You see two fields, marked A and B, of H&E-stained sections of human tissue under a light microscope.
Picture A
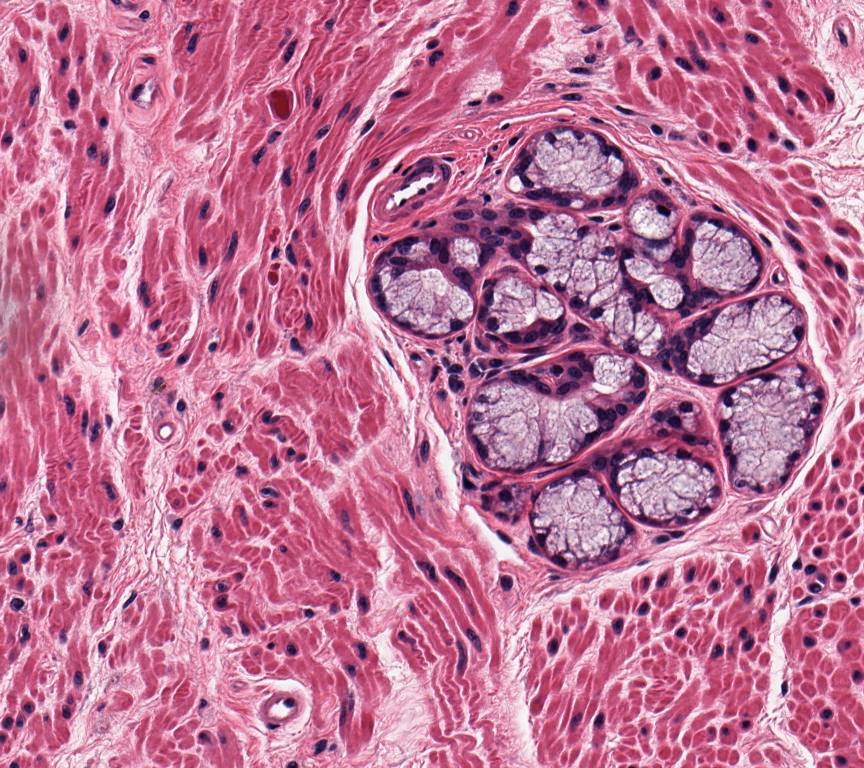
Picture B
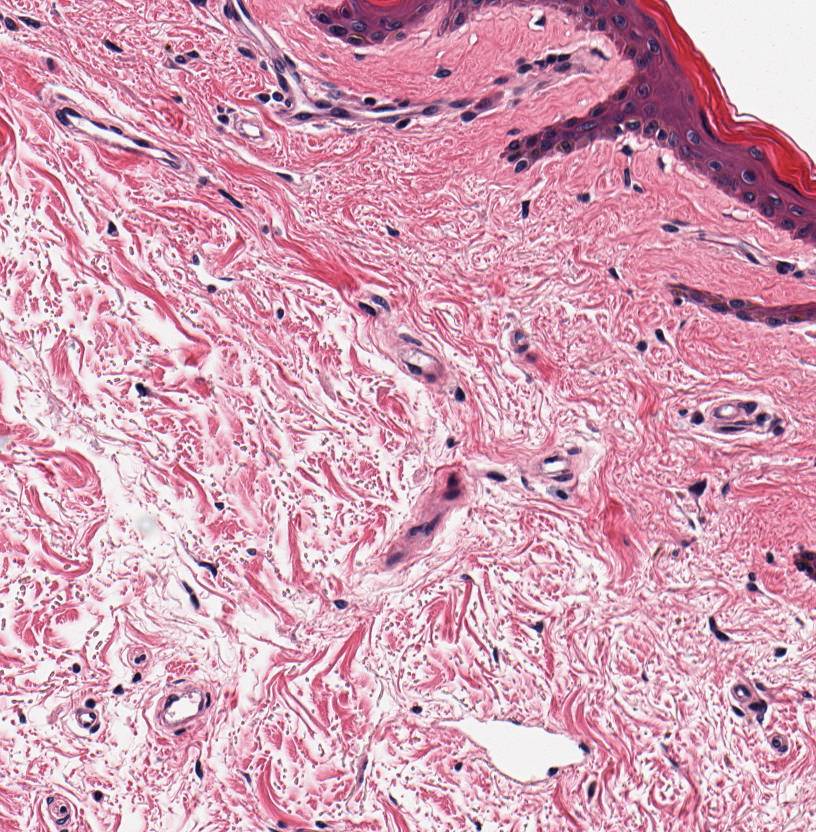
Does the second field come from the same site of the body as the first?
no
